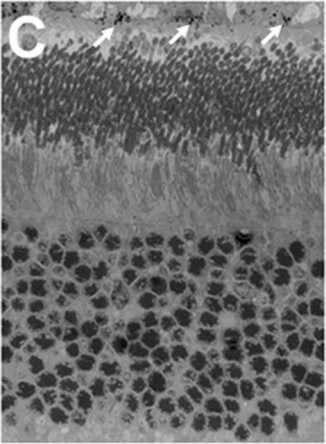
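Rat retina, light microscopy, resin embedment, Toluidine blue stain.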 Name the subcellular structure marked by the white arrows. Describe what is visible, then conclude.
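The arrows point to small dark inclusions in the pigmented band at the top of the image. This band overlies the layer of dark, densely packed outer segments.
Conclusion: phagosomes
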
